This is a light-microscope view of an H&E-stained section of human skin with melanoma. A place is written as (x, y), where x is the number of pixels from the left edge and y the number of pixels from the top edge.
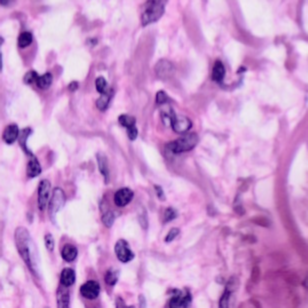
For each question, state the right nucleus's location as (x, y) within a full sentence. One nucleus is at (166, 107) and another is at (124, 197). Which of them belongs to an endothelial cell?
The nucleus at (166, 107) is part of an endothelial cell, while the other is not.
